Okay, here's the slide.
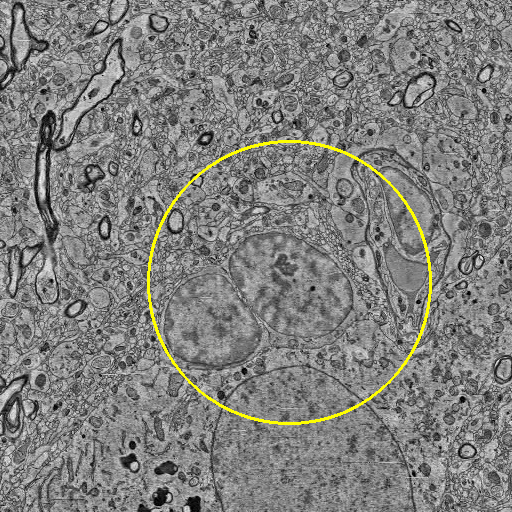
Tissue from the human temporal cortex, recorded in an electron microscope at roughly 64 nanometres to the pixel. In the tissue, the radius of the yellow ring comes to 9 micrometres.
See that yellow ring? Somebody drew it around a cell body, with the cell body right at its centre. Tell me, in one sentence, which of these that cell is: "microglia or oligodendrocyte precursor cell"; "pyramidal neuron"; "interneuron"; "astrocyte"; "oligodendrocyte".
The cell in the middle of the ring is an oligodendrocyte.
